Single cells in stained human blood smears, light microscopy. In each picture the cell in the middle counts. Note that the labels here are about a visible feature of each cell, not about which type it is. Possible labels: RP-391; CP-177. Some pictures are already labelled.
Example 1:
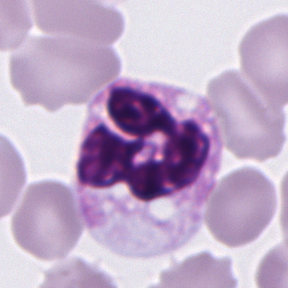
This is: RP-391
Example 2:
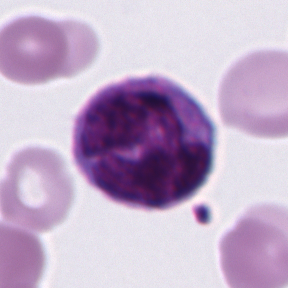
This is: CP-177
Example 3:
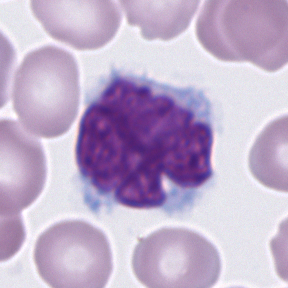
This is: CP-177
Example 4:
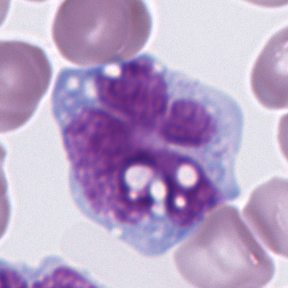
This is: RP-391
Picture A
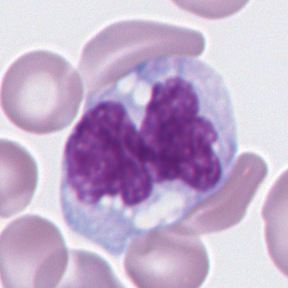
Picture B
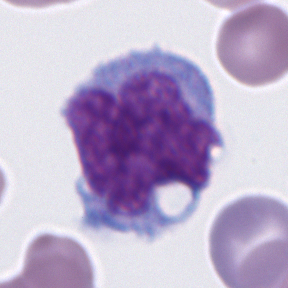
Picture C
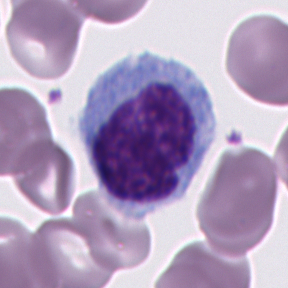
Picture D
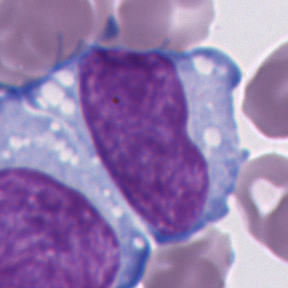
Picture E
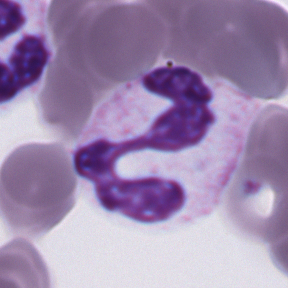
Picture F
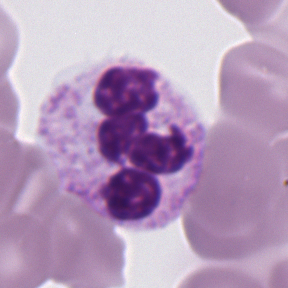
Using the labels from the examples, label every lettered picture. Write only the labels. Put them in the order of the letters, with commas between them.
RP-391, RP-391, CP-177, RP-391, CP-177, CP-177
